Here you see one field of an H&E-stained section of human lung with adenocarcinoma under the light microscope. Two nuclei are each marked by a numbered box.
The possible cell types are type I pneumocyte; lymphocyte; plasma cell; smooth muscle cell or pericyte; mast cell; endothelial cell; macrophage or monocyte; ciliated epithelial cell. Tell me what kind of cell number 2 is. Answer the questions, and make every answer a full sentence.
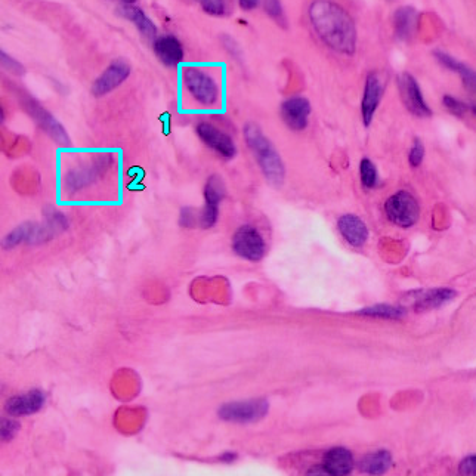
In this section, number 2 marks a smooth muscle cell or pericyte.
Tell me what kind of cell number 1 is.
The cell pointed out as number 1 is a mast cell.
